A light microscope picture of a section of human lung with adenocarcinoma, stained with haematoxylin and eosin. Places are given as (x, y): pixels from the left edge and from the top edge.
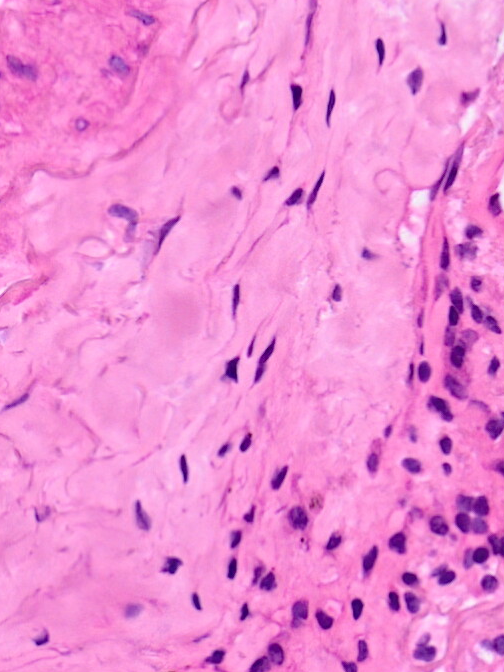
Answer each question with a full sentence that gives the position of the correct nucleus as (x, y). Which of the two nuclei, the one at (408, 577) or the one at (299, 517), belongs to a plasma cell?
The nucleus located at (299, 517) is the one held within a plasma cell.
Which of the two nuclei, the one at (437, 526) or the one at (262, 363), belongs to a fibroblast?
The nucleus whose cell is a fibroblast is the one at (262, 363).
